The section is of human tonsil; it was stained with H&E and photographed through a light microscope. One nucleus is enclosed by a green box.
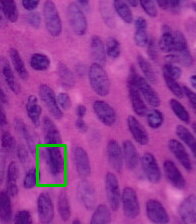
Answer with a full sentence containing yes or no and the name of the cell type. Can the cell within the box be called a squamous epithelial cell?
Yes, what the cell within the box represents in this tissue is a squamous epithelial cell.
